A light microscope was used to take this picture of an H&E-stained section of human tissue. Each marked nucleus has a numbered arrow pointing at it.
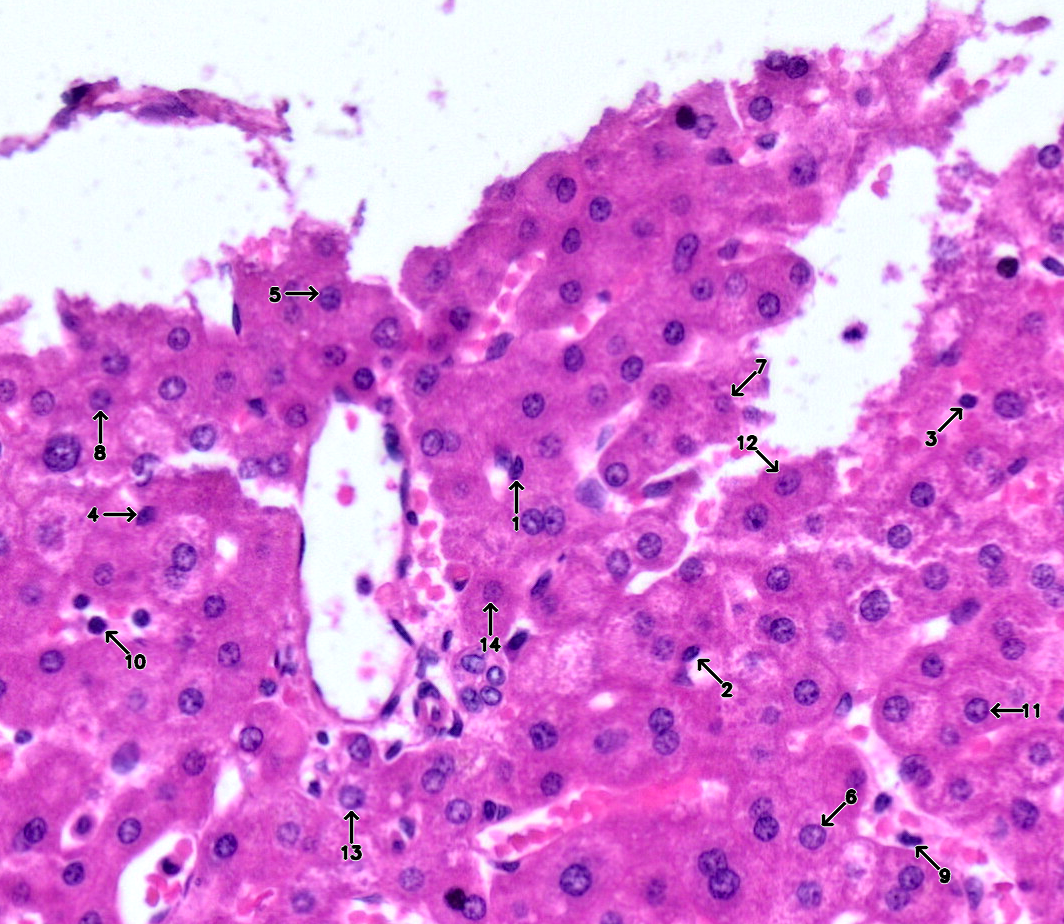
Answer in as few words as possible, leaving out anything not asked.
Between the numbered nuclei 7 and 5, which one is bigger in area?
5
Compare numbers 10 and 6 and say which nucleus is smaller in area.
10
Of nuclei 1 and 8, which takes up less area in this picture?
1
